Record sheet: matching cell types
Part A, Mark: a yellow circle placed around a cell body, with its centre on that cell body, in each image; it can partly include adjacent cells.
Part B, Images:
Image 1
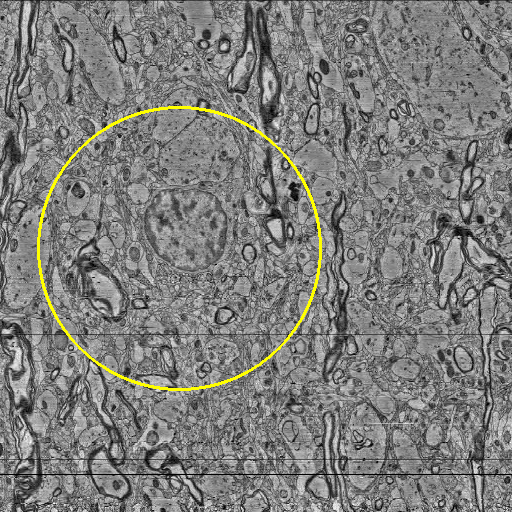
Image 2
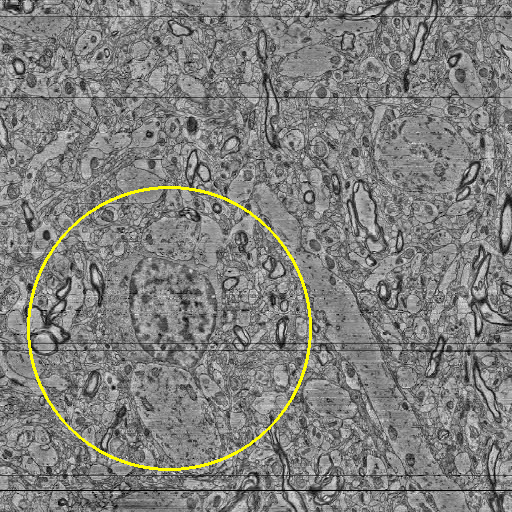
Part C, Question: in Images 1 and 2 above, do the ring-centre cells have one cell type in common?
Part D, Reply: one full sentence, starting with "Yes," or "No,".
Yes, the ring-centre cells of Image 1 and Image 2 are both of a single cell type.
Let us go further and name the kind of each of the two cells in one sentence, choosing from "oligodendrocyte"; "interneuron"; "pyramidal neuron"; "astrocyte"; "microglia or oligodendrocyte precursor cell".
The first and the second cell are each an oligodendrocyte.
